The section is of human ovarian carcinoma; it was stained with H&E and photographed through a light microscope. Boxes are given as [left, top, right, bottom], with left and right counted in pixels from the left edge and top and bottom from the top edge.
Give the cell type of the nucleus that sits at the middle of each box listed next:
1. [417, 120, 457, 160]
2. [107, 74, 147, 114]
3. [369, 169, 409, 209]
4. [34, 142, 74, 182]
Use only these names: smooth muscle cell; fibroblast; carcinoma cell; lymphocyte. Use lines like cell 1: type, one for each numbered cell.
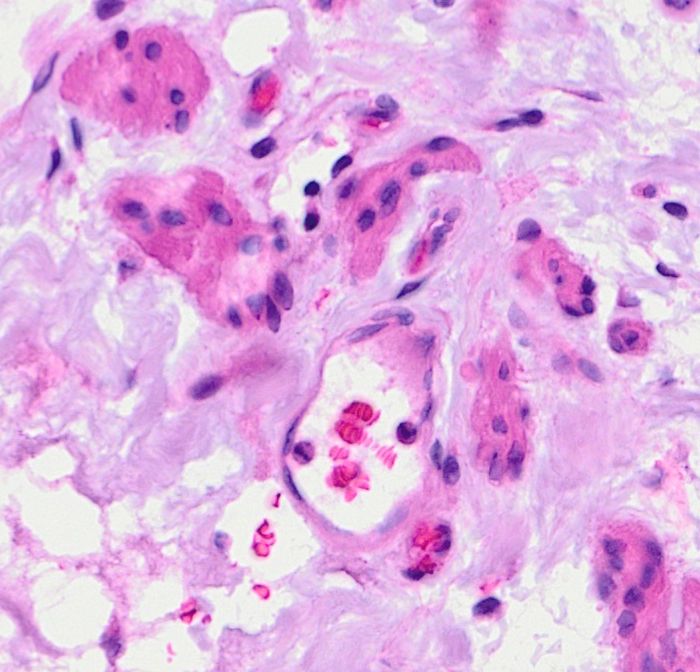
cell 1: smooth muscle cell
cell 2: smooth muscle cell
cell 3: smooth muscle cell
cell 4: fibroblast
